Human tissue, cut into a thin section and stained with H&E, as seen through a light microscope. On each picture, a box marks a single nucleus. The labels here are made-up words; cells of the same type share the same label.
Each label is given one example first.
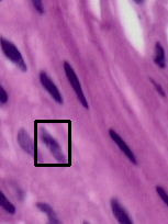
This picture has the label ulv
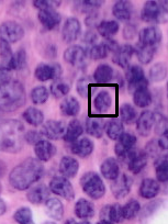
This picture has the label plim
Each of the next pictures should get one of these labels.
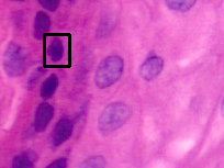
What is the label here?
ulv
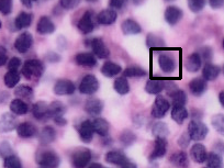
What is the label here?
plim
